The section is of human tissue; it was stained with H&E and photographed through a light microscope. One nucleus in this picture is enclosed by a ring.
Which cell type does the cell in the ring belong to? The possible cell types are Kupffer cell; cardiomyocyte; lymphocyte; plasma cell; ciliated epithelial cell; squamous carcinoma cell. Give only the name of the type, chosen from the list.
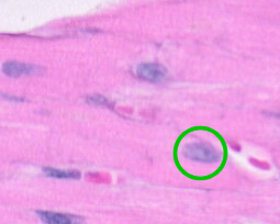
cardiomyocyte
